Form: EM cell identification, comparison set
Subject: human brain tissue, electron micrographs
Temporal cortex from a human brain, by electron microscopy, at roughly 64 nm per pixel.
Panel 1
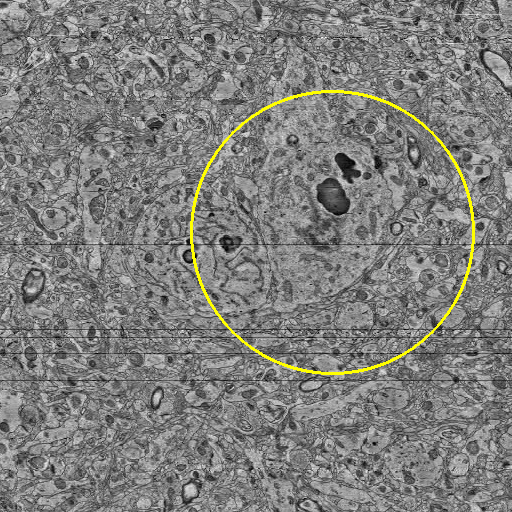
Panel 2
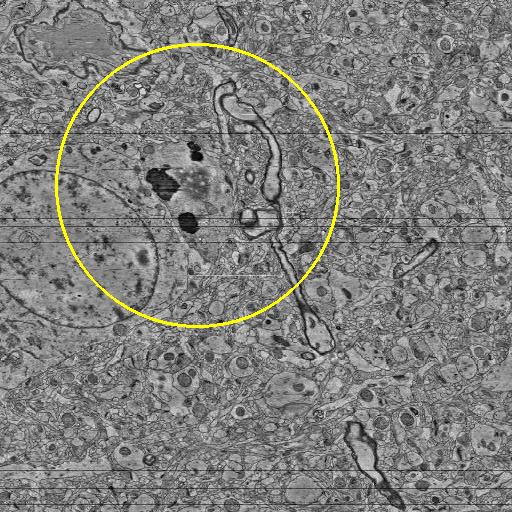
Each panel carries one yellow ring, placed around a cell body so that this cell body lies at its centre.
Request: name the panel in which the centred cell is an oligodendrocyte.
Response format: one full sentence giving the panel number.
Panel 2 has it at the centre of its ring.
